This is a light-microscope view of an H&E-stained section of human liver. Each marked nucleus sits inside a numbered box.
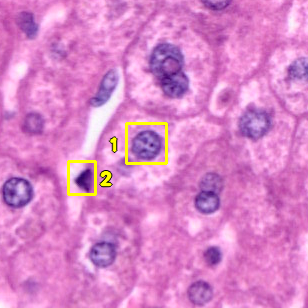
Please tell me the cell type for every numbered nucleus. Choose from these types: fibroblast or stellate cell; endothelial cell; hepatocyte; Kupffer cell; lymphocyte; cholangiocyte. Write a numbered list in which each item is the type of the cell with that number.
1. hepatocyte
2. endothelial cell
